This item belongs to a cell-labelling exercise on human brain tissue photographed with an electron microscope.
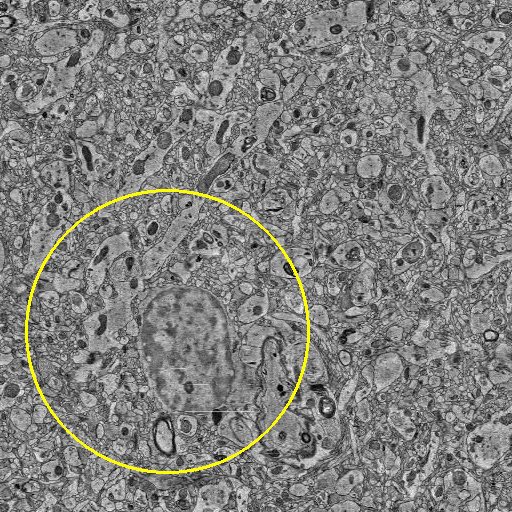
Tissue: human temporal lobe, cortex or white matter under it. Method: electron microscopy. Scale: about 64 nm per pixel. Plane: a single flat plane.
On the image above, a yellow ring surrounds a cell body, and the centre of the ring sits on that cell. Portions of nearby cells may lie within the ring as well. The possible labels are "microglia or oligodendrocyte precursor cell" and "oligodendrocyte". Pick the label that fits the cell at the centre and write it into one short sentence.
This cell should be labelled as an oligodendrocyte.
